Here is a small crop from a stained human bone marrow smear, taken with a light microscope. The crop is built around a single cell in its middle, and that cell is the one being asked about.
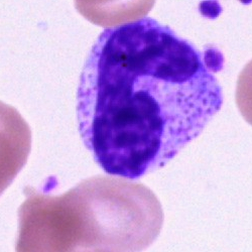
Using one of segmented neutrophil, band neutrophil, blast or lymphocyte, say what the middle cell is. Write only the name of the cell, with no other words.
band neutrophil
